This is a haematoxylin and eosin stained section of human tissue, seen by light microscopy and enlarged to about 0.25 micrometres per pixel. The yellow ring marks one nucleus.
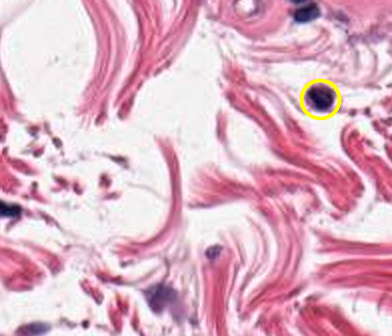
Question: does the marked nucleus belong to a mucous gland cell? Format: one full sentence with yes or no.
No, the marked nucleus belongs to a supporting cell, and a mucous gland cell is not its owner.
